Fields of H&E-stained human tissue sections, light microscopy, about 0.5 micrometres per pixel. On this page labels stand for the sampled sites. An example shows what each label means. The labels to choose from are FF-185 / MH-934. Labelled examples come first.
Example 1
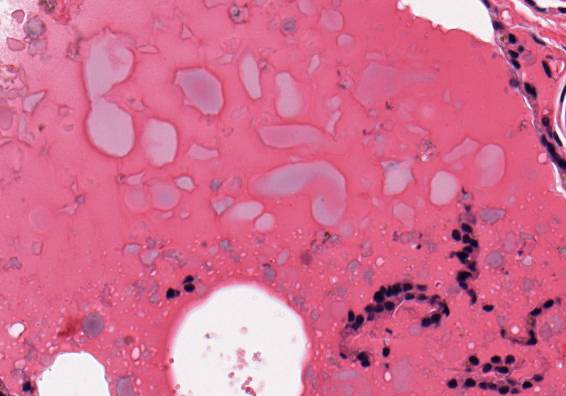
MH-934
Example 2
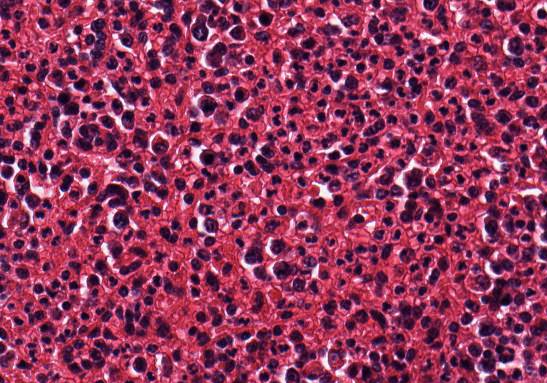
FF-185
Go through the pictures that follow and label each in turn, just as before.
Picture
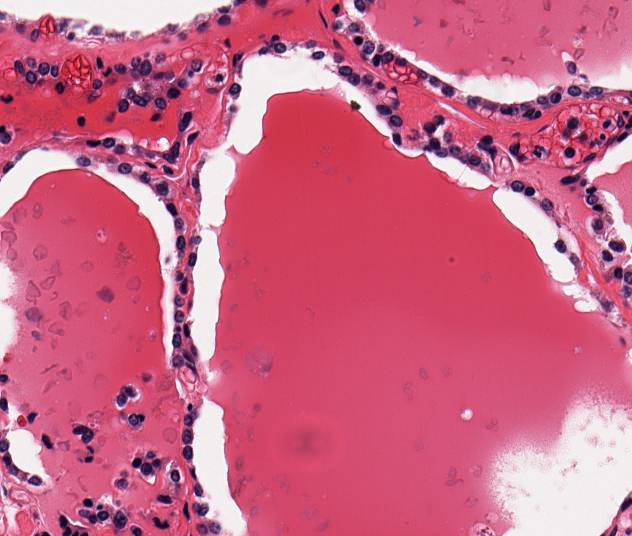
MH-934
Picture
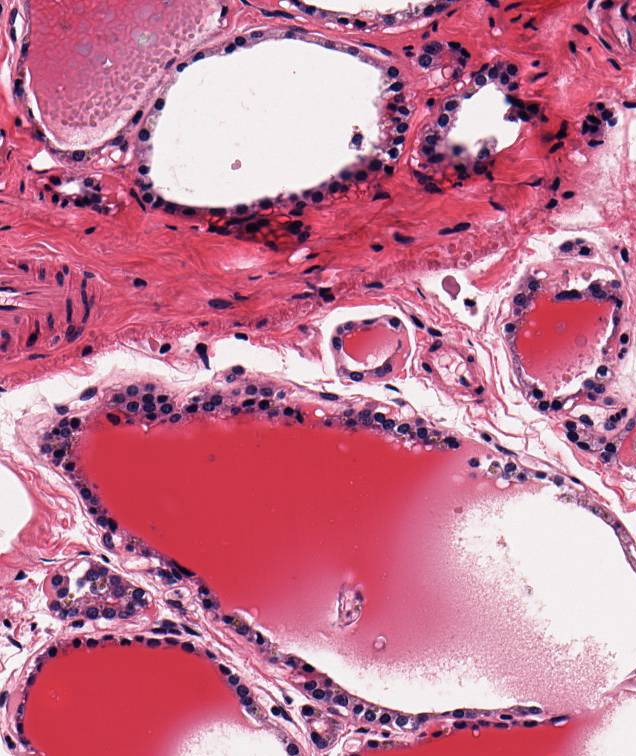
MH-934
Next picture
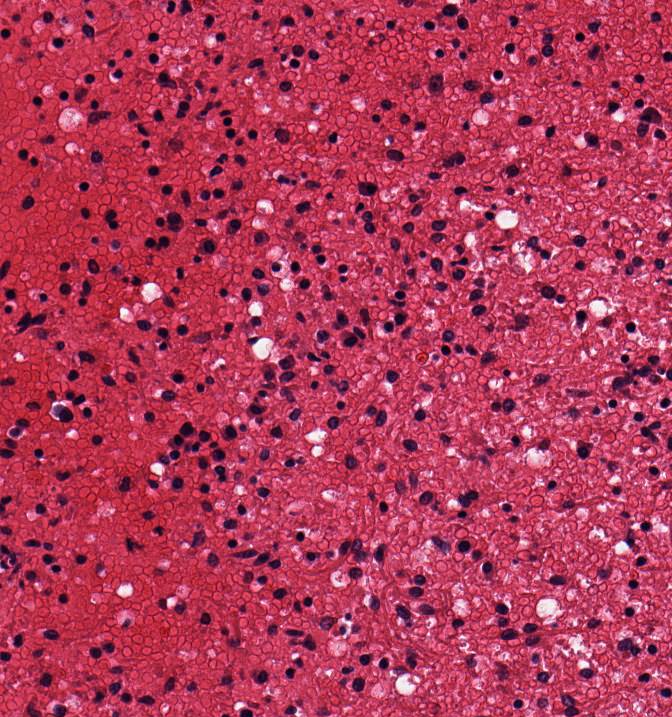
FF-185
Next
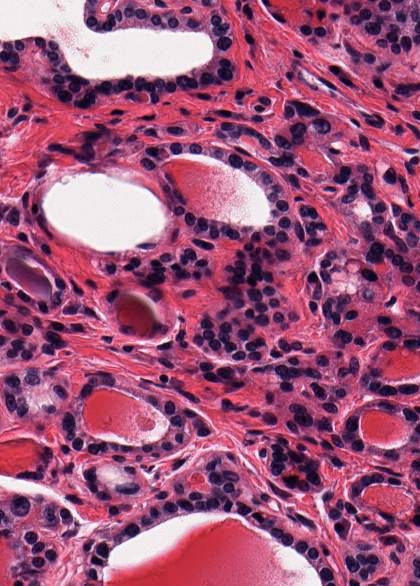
MH-934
